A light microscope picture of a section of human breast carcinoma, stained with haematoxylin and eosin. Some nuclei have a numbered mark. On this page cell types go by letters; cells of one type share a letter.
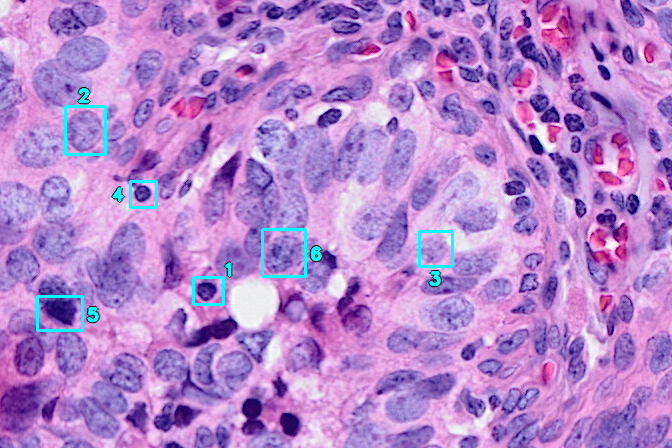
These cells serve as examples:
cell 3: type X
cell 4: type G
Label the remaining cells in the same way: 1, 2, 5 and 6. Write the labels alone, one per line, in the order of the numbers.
type G
type X
type X
type X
